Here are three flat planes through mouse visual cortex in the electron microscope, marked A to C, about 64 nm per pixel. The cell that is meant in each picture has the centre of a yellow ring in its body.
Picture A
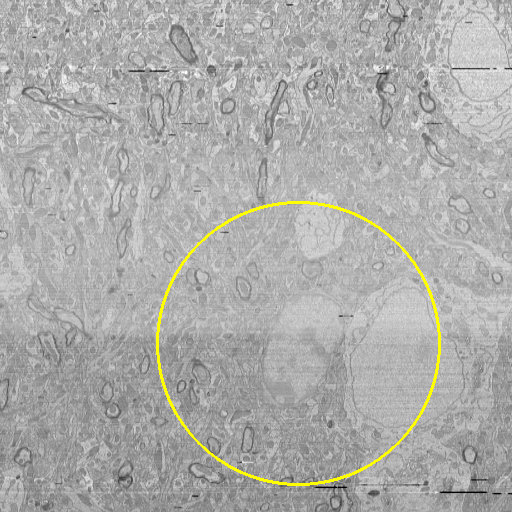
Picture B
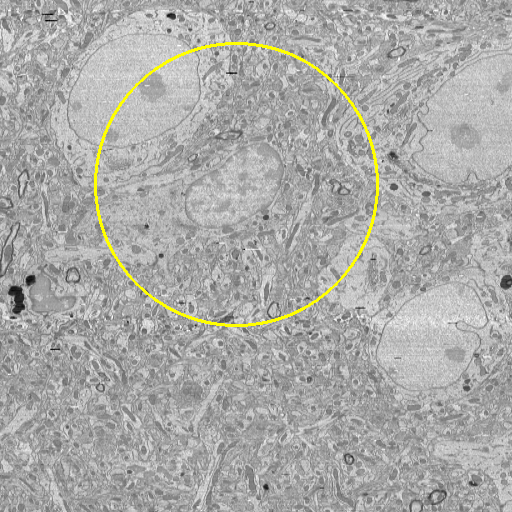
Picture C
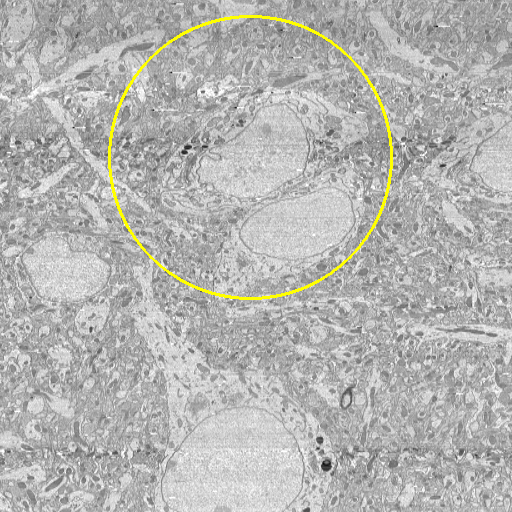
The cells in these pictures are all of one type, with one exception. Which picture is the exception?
Picture C is the odd one out: it shows an inhibitory neuron, while the others show oligodendrocytes.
